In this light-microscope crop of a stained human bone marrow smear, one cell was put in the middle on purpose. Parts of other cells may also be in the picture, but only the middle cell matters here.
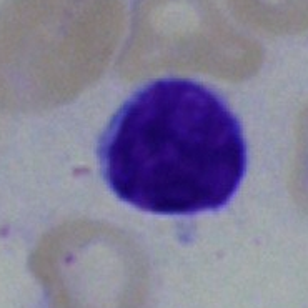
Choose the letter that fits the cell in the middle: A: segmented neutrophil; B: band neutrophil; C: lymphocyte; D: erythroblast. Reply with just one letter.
C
